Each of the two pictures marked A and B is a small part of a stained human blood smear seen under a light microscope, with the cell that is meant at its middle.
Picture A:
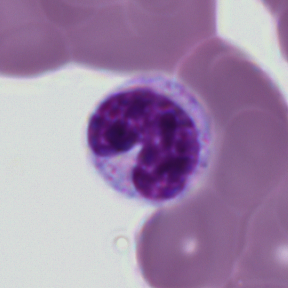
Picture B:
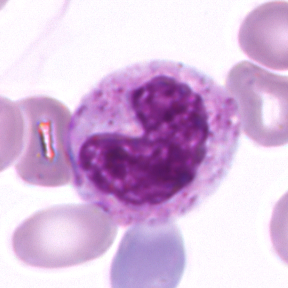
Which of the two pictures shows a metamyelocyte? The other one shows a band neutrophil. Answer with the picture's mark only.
B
